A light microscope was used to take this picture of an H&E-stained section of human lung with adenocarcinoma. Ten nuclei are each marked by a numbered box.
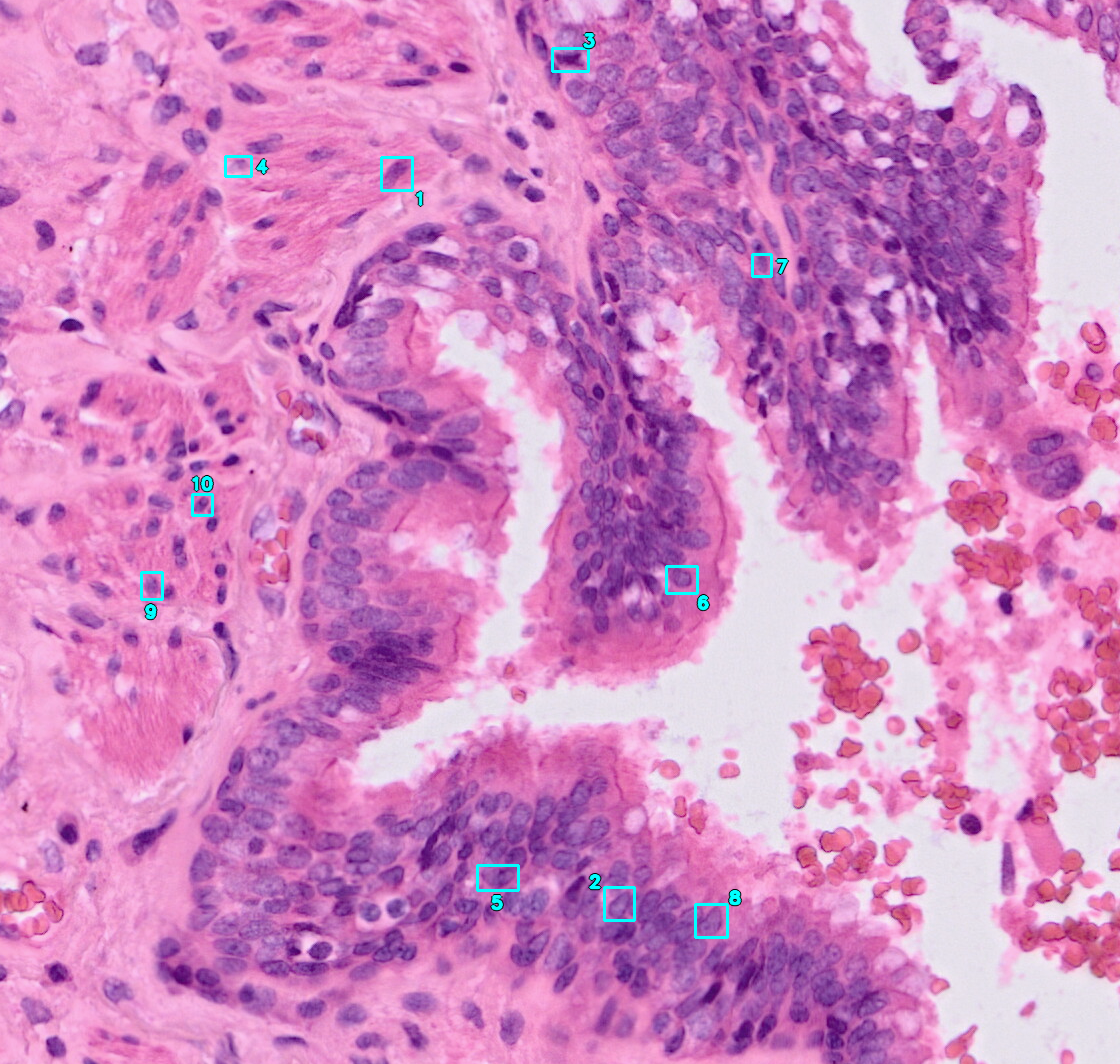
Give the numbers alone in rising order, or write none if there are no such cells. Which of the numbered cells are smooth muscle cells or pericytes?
1, 4, 9, 10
